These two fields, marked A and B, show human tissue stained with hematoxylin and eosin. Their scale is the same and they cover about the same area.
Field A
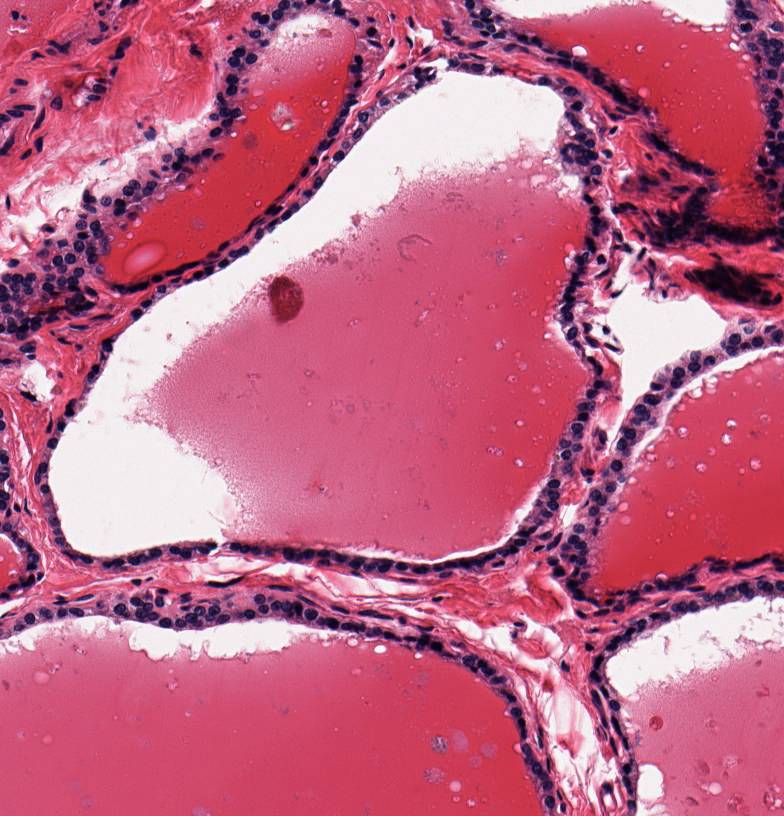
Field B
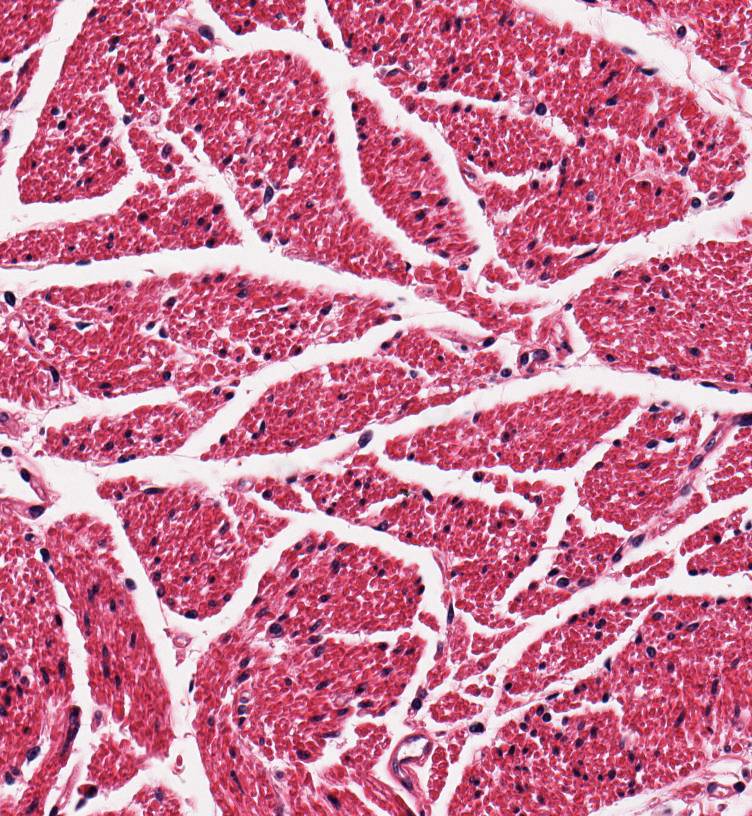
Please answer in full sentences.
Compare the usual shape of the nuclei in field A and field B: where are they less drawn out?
The nuclei are rounder in field B.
